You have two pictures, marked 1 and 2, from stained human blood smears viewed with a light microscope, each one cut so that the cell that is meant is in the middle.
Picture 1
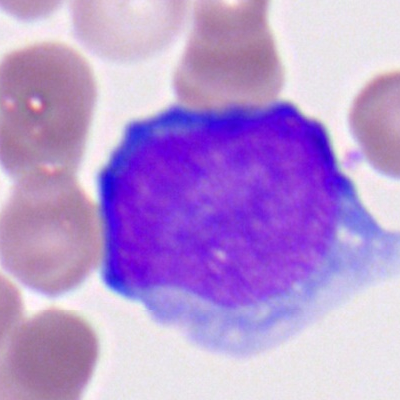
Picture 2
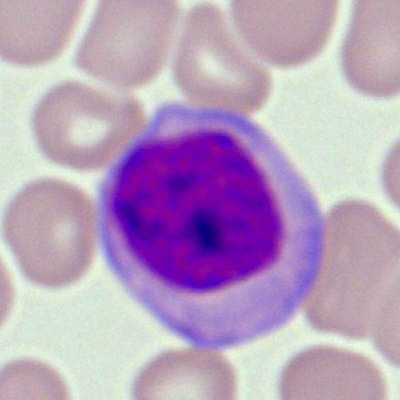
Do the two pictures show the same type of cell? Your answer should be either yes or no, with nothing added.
yes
